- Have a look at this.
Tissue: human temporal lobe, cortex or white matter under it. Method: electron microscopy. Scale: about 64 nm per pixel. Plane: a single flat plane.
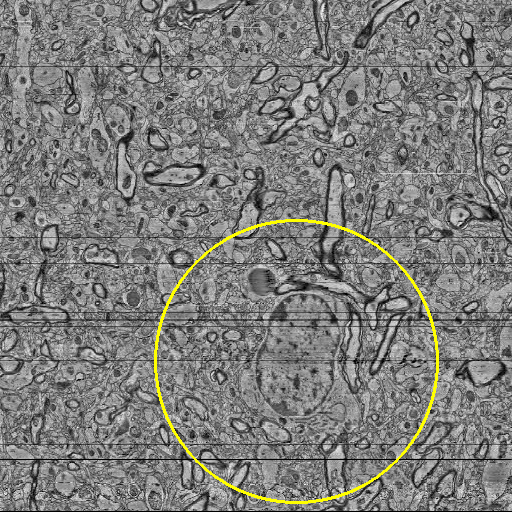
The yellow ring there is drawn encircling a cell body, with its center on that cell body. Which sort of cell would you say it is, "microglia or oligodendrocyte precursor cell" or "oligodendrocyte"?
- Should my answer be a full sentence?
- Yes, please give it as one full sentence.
For this picture, a microglial cell or oligodendrocyte precursor cell is the cell where the yellow ring has its center.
